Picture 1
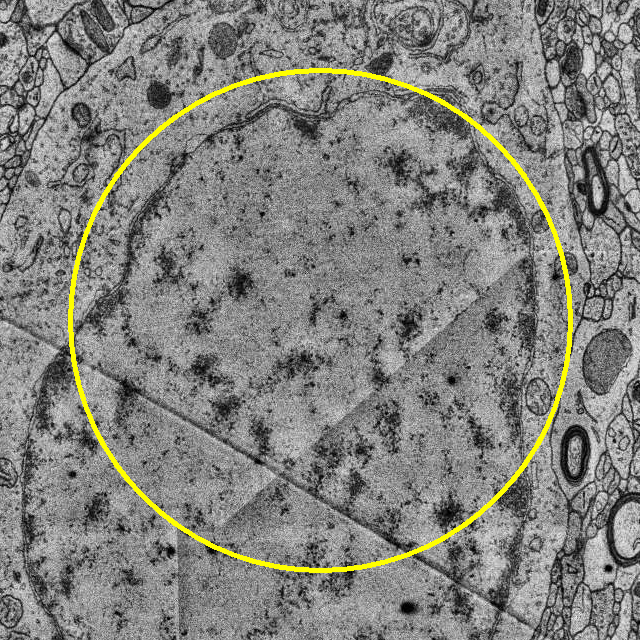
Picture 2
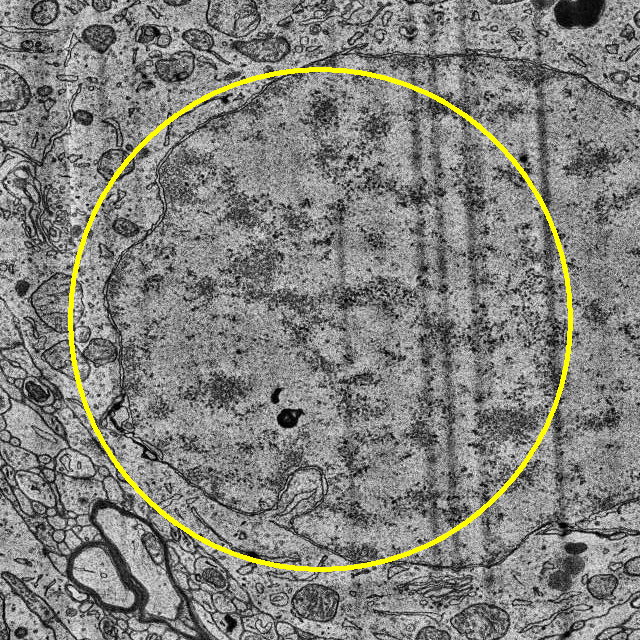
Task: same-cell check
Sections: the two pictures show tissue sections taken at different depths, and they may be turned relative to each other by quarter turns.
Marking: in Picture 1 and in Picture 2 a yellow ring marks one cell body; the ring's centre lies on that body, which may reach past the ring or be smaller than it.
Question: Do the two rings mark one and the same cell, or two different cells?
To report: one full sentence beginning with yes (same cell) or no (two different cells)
No, the rings single out two cells that are separate from each other.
